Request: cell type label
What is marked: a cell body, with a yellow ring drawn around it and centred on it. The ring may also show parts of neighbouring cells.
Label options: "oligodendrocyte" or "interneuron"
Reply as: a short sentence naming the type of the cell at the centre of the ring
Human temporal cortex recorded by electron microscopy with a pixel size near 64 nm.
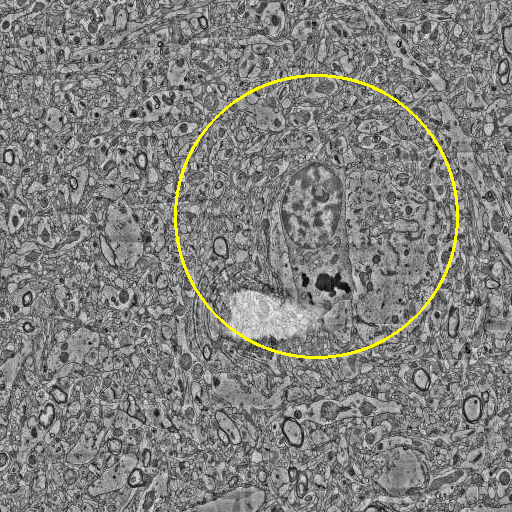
The marked cell body is that of an oligodendrocyte.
